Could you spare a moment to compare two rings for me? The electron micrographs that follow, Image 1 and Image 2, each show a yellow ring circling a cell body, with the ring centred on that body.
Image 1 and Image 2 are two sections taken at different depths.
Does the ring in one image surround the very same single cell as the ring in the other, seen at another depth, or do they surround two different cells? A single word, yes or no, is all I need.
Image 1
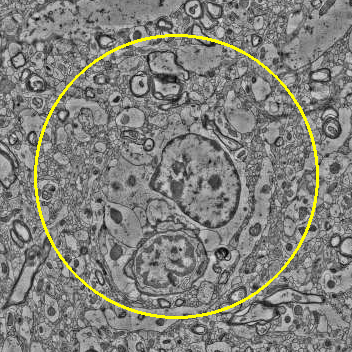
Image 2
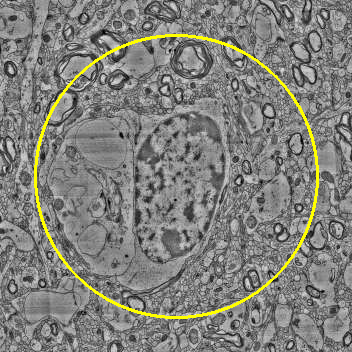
no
